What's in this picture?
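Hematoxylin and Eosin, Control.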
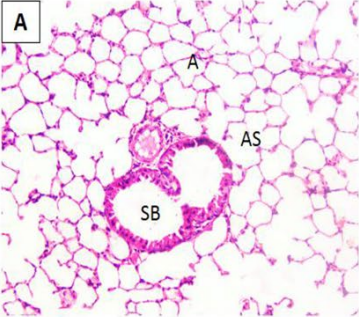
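Lung section showing a small bronchiole among alveolar sacs and alveoli. The bronchiole is lined by a continuous layer of pink columnar epithelium with closely set purple nuclei. A small blood vessel lies beside it. The surrounding alveoli are polygonal, open and separated by thin pink septa with few nuclei. No crowding of cells is seen in the walls.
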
